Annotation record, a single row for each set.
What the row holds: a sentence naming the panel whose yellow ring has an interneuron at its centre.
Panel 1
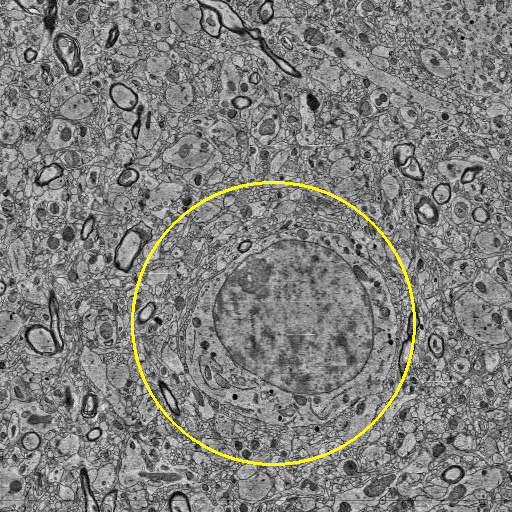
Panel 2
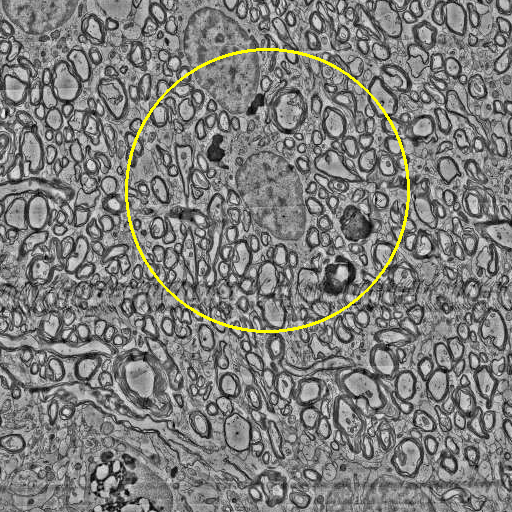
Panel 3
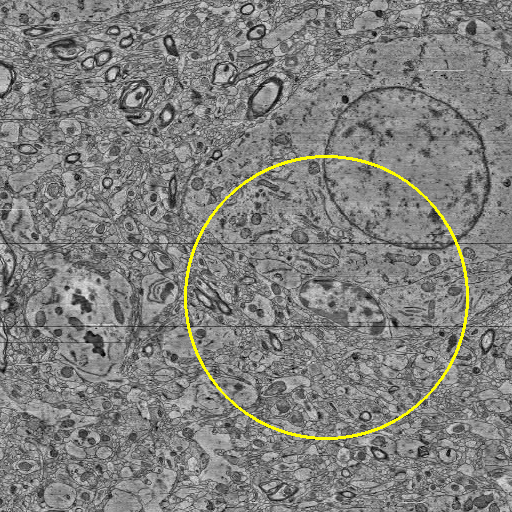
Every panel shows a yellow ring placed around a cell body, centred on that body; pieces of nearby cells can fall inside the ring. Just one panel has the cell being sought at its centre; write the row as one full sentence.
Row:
In panel 1, the cell at the middle of the yellow ring is the one sought.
